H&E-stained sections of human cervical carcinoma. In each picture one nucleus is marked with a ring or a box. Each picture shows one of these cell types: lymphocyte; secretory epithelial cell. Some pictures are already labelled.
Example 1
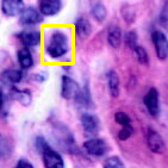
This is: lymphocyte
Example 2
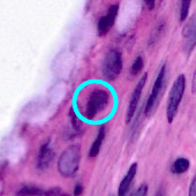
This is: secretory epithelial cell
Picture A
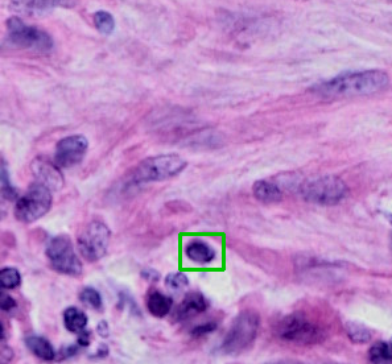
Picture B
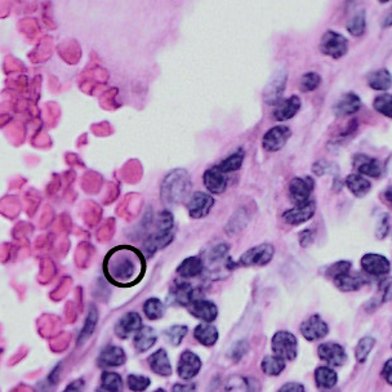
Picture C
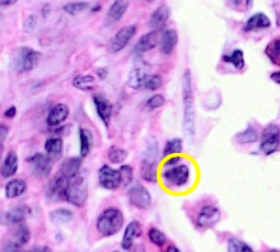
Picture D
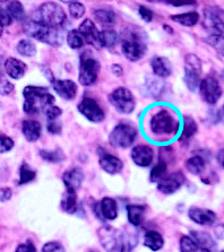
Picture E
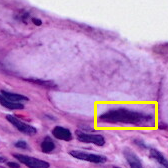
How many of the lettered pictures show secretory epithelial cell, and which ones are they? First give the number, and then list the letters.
Count: 1 (E)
